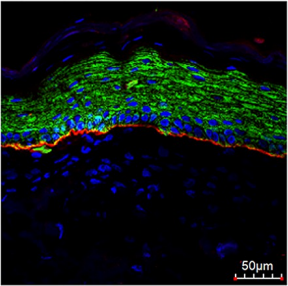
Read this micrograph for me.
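This is a thin, flat, multilayered epithelium of keratinocytes resting on a loose stroma containing scattered blue nuclei, with no rete ridges. Green cytoplasmic staining fills the epithelial layers, with cells becoming flattened toward the surface. A thin continuous red line lies beneath the basal cell row, marking the flat interface between epithelium and stroma.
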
